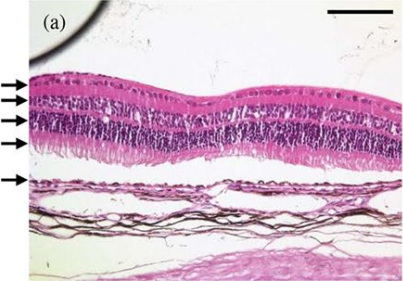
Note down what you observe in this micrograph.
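This is a cross-section of the retina, stained pink and purple, lying as a thin layered sheet above a dark pigmented line and loose connective tissue. From the top, a thin pink fibre layer carries a sparse row of nuclei, then comes a pink finely granular layer, then a band of purple nuclei a few cells deep. Below that a thin pink layer separates it from a thicker, denser band of small dark round nuclei. Beneath this band runs a pale pink, finely striated layer of photoreceptor segments pointing toward the pigmented side. Under a clear space lies the dark pigment epithelium, with wavy dark pigmented strands and pink collagen-rich tissue further below.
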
